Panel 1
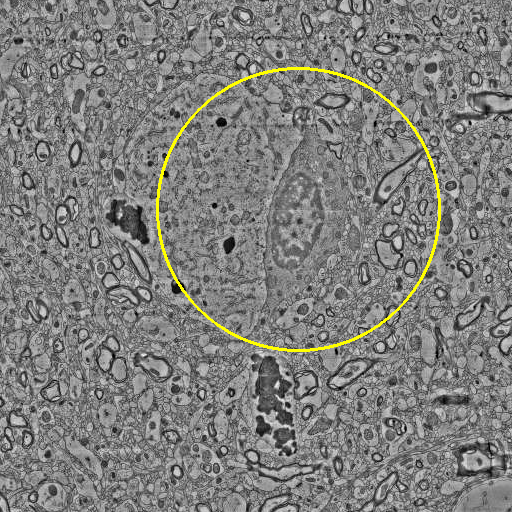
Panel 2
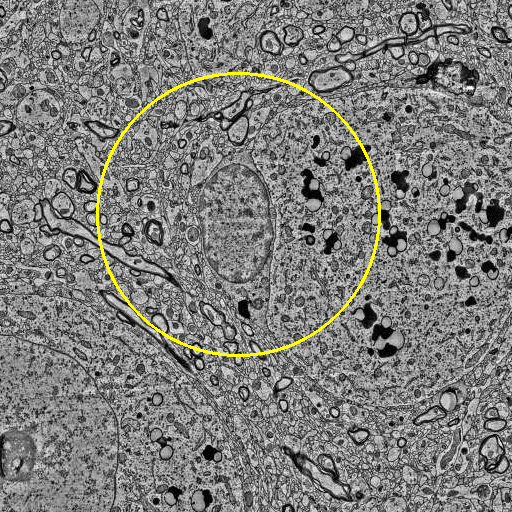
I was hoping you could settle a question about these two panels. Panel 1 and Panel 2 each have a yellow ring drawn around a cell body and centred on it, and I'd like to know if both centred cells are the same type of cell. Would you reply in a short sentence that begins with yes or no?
Yes, both are the same type of cell.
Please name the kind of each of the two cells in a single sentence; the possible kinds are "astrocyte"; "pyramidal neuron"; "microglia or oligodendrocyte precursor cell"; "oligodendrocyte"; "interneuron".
Each one of the two ringed cells is an oligodendrocyte.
